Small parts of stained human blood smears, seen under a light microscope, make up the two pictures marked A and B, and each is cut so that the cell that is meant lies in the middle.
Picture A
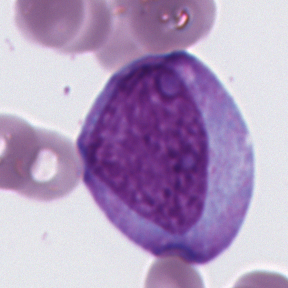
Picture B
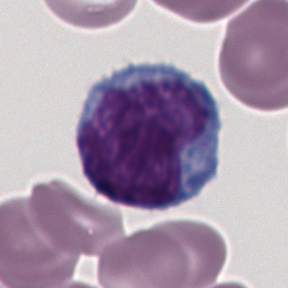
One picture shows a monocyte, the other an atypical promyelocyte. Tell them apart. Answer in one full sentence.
Picture A shows an atypical promyelocyte and picture B shows a monocyte.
